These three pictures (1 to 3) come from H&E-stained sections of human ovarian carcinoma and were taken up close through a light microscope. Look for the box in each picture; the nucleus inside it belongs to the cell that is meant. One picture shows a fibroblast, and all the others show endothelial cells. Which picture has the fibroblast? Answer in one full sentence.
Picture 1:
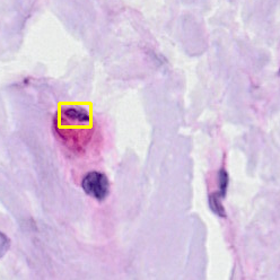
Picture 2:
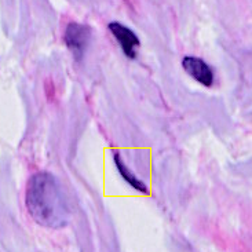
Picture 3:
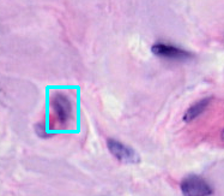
The cell in picture 2 is the fibroblast.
